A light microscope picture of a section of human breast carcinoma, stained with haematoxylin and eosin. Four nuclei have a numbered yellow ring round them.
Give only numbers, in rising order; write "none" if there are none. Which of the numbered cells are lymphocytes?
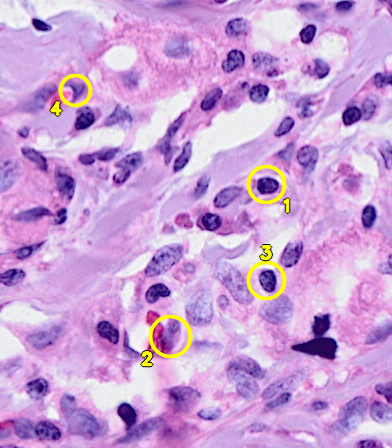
1, 3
